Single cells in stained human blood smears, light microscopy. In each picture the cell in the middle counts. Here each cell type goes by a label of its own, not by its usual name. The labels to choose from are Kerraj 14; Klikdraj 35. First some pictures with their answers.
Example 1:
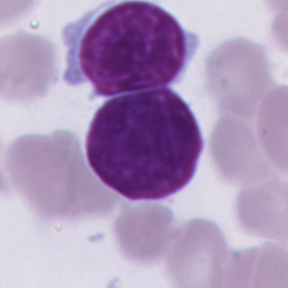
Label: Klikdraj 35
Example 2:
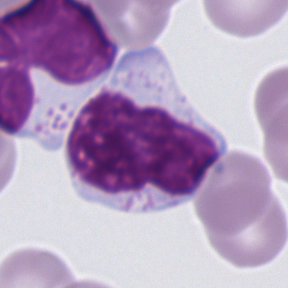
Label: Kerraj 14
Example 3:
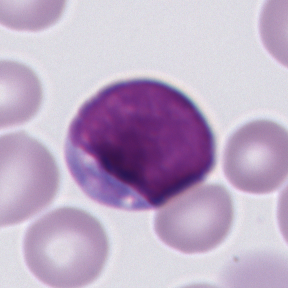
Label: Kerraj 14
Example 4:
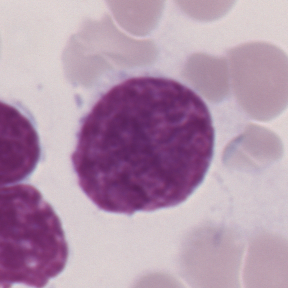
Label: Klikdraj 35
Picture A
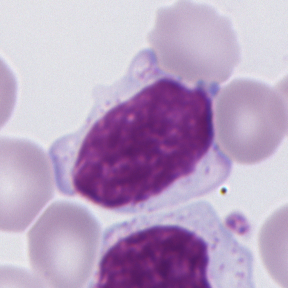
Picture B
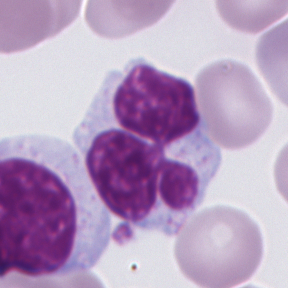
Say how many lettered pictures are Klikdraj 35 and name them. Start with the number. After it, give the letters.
0, none of them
